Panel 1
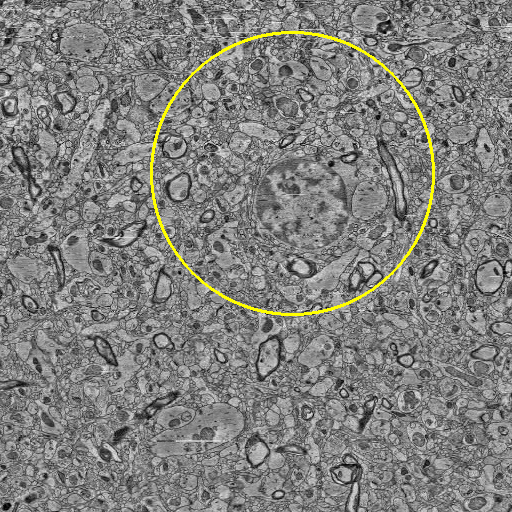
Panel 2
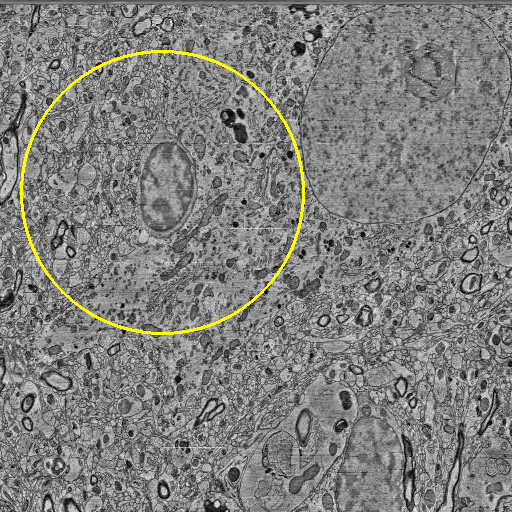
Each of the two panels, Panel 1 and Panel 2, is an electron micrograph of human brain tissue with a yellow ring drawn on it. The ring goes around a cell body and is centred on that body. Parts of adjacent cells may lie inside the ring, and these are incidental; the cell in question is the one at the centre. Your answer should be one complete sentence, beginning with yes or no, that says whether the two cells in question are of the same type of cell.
Yes, the two cells are of the same type.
